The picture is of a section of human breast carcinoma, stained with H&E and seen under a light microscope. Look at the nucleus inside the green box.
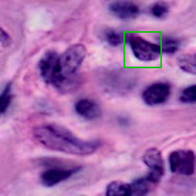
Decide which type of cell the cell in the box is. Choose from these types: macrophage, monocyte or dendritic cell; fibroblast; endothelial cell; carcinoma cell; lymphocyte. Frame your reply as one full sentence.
Right, so the cell in the box is a lymphocyte, to answer that.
